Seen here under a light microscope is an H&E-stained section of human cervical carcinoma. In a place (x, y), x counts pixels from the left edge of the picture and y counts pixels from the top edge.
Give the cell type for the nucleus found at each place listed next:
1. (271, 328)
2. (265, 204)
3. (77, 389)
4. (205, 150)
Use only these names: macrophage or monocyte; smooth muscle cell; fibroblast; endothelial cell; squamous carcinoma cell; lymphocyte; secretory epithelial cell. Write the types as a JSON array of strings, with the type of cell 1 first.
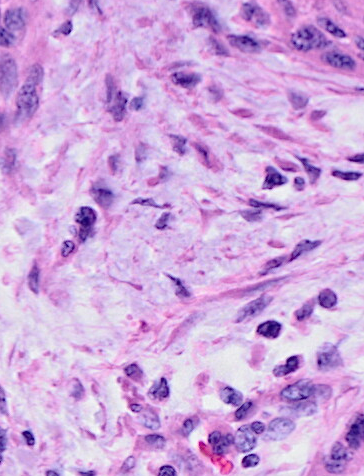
["lymphocyte", "fibroblast", "fibroblast", "fibroblast"]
